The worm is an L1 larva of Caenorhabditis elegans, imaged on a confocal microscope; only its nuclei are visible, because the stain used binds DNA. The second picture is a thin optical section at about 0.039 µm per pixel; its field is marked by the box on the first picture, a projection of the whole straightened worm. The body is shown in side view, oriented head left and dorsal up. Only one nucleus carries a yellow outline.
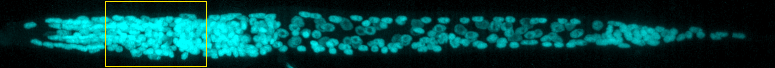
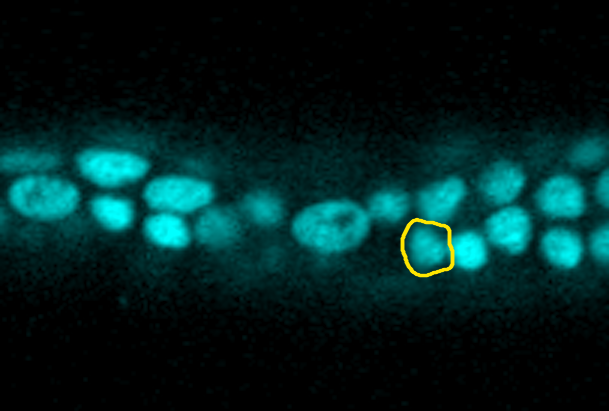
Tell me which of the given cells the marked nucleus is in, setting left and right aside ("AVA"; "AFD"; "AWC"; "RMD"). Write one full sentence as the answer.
This is the nucleus of RMD, a neuron.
